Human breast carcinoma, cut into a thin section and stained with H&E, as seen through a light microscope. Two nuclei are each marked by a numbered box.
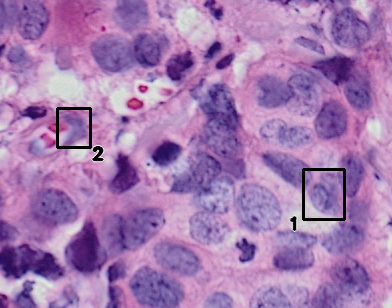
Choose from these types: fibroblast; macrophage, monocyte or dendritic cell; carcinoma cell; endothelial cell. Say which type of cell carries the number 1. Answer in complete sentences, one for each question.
Recognised here as a carcinoma cell is the cell numbered 1.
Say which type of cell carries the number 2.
The identity of cell 2 is that of an endothelial cell.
